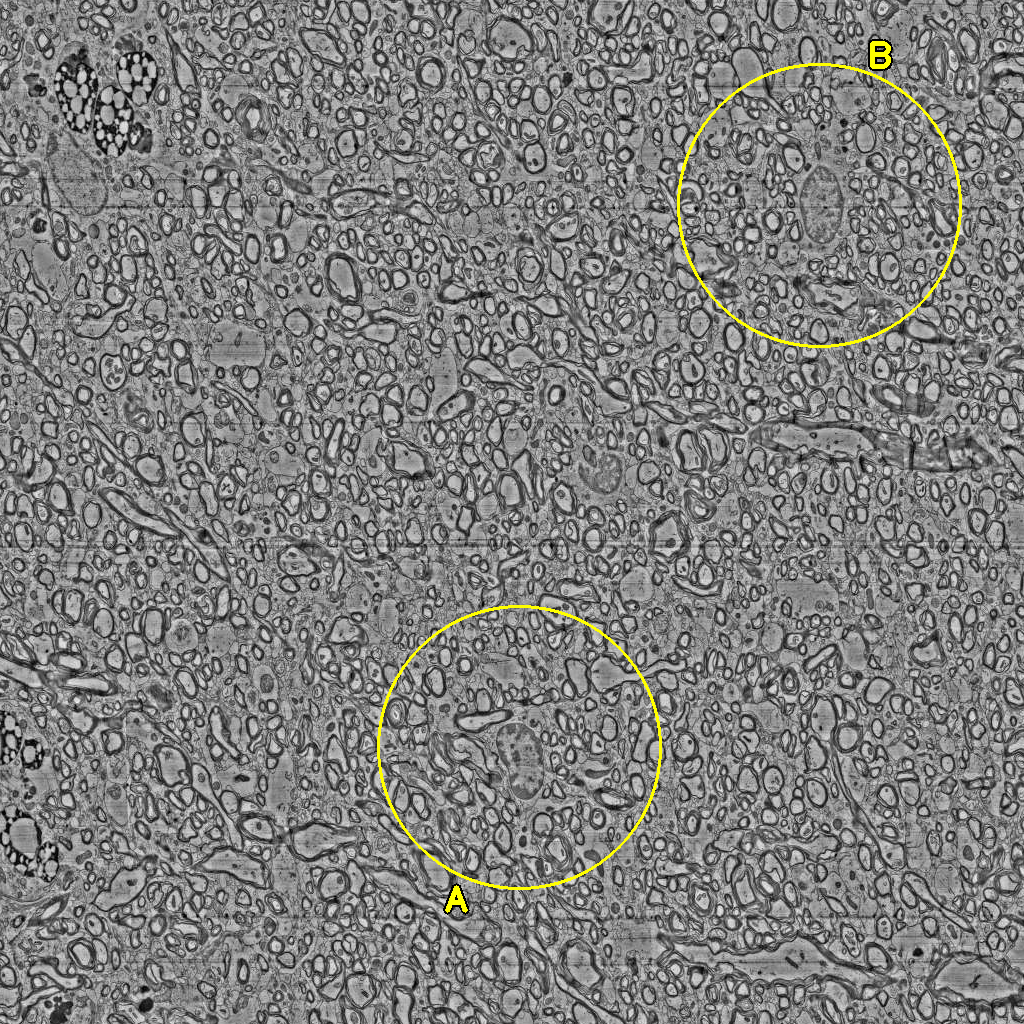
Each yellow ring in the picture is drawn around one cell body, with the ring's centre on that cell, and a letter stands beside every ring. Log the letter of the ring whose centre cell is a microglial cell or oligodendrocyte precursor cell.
A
